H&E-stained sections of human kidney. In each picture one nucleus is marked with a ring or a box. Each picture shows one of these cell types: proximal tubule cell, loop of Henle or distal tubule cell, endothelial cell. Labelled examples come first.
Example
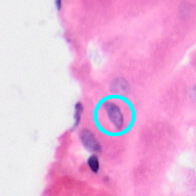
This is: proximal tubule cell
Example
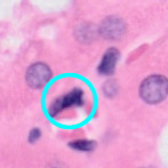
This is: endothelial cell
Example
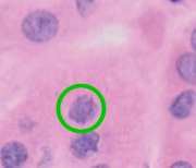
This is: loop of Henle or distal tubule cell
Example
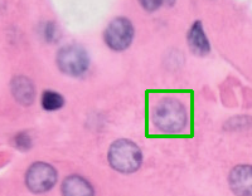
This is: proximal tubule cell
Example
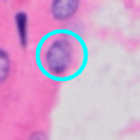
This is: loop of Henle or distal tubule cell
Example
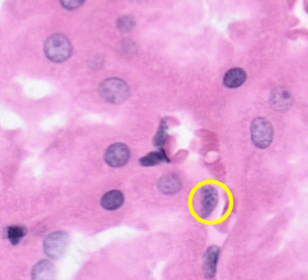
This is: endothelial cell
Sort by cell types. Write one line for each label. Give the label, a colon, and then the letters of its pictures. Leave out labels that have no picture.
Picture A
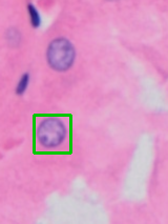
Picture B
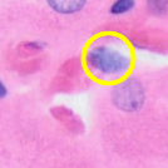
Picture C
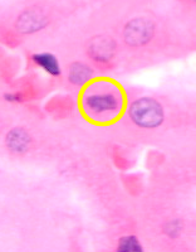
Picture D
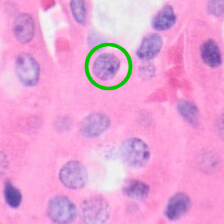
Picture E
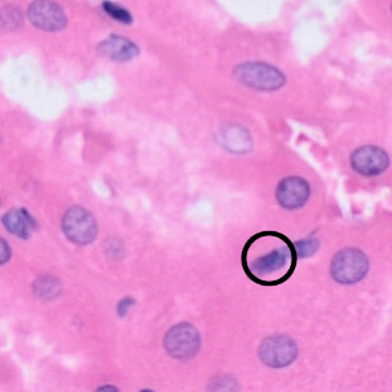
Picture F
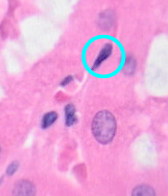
proximal tubule cell: A, C
loop of Henle or distal tubule cell: D
endothelial cell: B, E, F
